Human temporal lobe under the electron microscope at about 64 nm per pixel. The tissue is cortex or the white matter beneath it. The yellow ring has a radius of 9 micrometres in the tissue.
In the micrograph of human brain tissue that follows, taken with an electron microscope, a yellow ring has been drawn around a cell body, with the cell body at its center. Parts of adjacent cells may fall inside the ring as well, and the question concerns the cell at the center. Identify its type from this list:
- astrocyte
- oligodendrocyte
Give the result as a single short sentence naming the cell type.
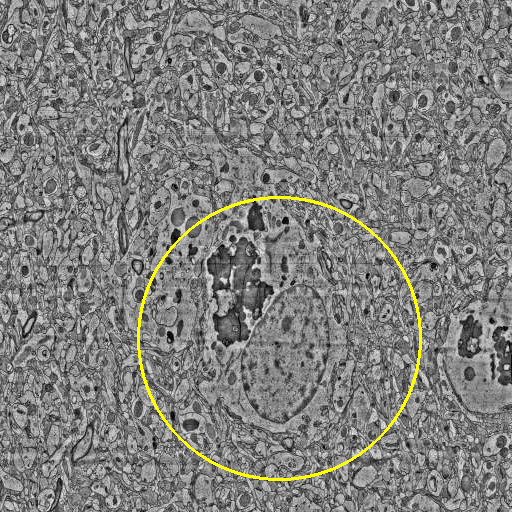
The ring is centered on an astrocyte.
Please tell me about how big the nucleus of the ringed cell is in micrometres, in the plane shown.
Clearly longer than it is wide in this plane, the nucleus measures roughly 9 by 5 micrometres.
